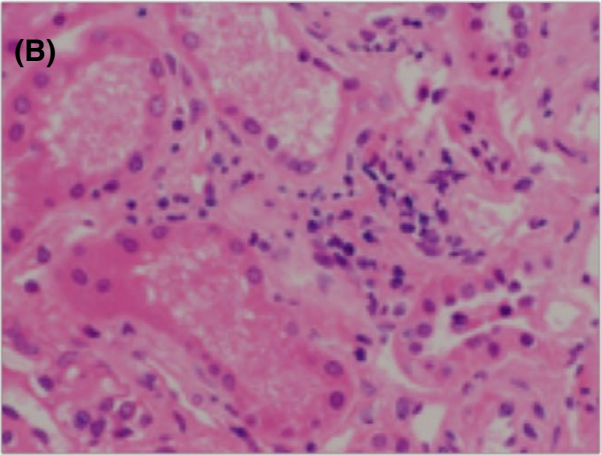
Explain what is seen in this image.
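Kidney tubules seen at high power, lined by cuboidal epithelial cells with pink, granular cytoplasm and round, centrally placed nuclei. Several tubular lumens contain pale pink, flocculent material. Between the tubules the interstitium holds a cluster of small cells with dark, compact, sometimes irregular nuclei and scant cytoplasm, crowded together near the right of the field, alongside a few elongated spindle-shaped nuclei in the stroma. No glomerulus is in view. The picture is of renal tubulointerstitium with a focal interstitial collection of small inflammatory cells among otherwise intact tubules.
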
